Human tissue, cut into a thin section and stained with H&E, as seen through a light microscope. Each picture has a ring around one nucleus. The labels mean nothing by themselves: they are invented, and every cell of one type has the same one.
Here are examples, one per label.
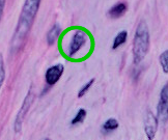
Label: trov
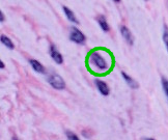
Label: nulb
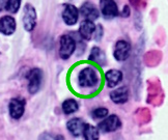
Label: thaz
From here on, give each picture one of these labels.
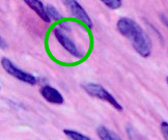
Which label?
trov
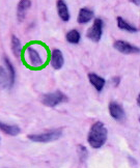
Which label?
trov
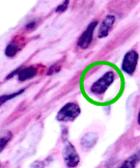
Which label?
thaz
